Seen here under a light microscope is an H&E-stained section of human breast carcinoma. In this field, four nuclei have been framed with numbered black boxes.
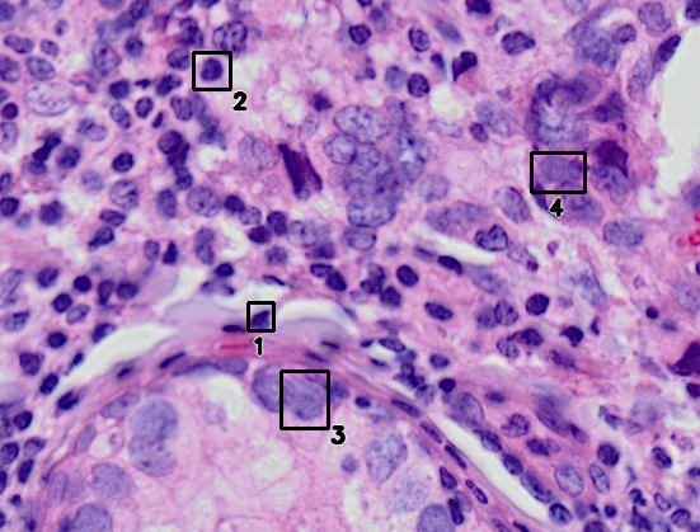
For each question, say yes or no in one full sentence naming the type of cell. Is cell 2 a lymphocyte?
Yes, the cell at the mark numbered 2 is a lymphocyte.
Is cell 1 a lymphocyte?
Yes, that one, number 1, is a lymphocyte.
